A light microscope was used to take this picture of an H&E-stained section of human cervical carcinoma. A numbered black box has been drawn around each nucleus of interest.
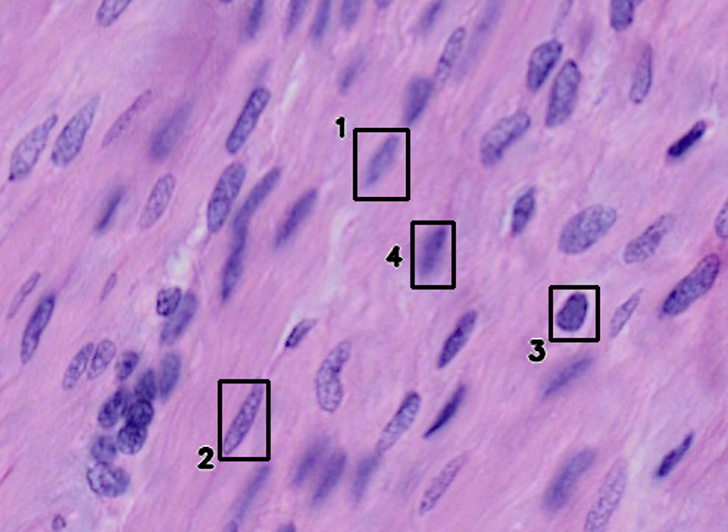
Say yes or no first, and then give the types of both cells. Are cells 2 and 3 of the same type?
No, the cell bearing number 2 is a fibroblast, while the one bearing number 3 is a lymphocyte.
